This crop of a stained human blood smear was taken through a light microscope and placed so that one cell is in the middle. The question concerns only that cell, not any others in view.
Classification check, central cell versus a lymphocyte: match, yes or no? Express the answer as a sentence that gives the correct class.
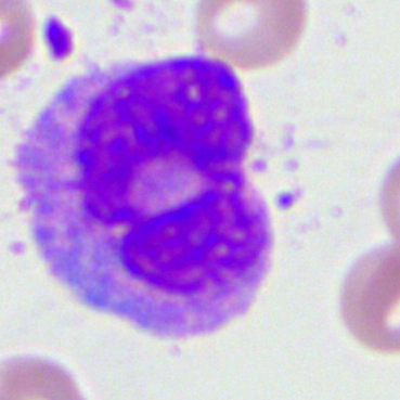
No, the centrally located cell is a monocyte rather than a lymphocyte.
